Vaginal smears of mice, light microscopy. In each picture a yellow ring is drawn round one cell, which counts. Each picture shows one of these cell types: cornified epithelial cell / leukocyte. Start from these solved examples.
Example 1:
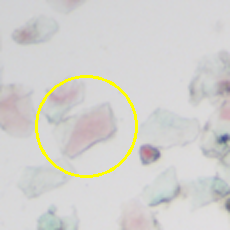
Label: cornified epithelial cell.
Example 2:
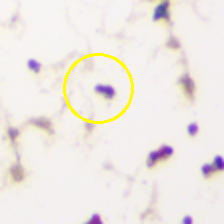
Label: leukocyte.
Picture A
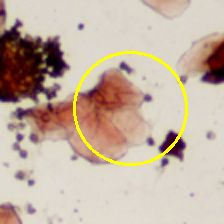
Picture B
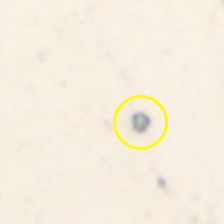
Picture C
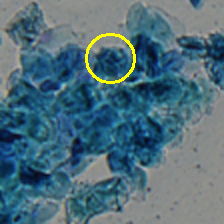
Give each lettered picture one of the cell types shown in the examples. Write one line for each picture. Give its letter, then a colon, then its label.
A: cornified epithelial cell.
B: leukocyte.
C: cornified epithelial cell.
